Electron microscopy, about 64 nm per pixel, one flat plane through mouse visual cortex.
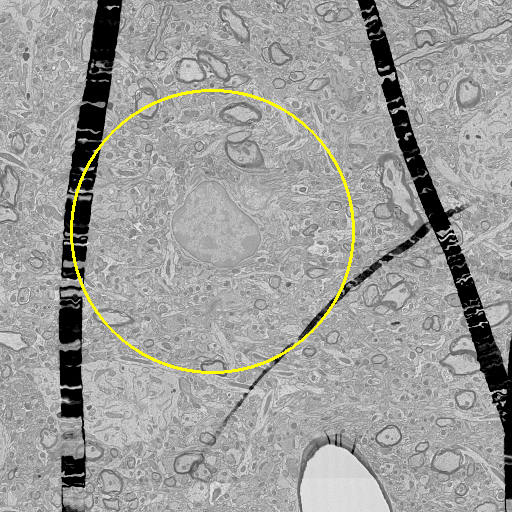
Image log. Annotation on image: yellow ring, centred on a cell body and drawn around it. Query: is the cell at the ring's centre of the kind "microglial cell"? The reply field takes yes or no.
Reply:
yes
